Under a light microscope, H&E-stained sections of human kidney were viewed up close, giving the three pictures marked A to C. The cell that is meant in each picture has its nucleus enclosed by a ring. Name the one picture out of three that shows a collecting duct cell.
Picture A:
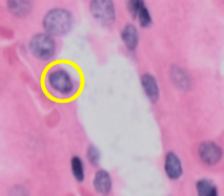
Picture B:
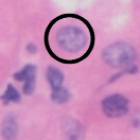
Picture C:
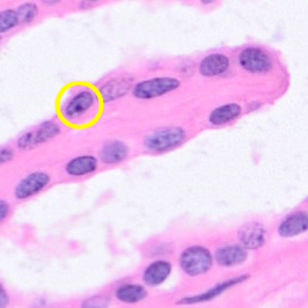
C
